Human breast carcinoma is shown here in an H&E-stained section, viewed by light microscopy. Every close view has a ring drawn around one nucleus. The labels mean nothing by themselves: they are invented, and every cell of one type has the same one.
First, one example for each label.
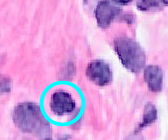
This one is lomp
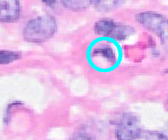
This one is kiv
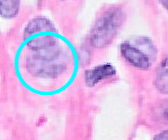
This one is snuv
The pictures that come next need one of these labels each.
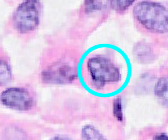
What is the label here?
snuv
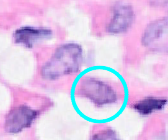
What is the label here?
snuv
